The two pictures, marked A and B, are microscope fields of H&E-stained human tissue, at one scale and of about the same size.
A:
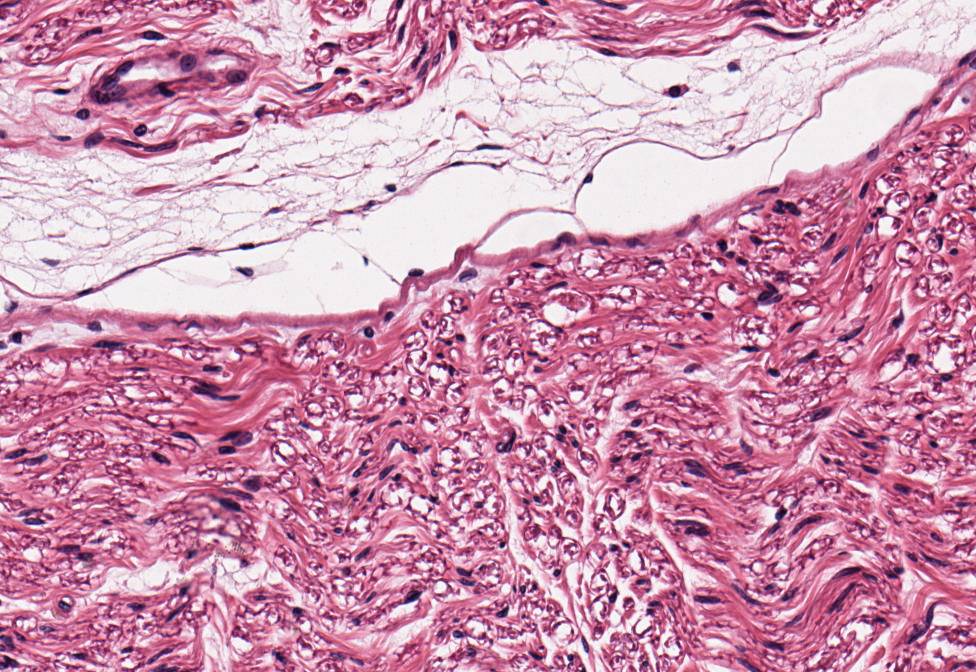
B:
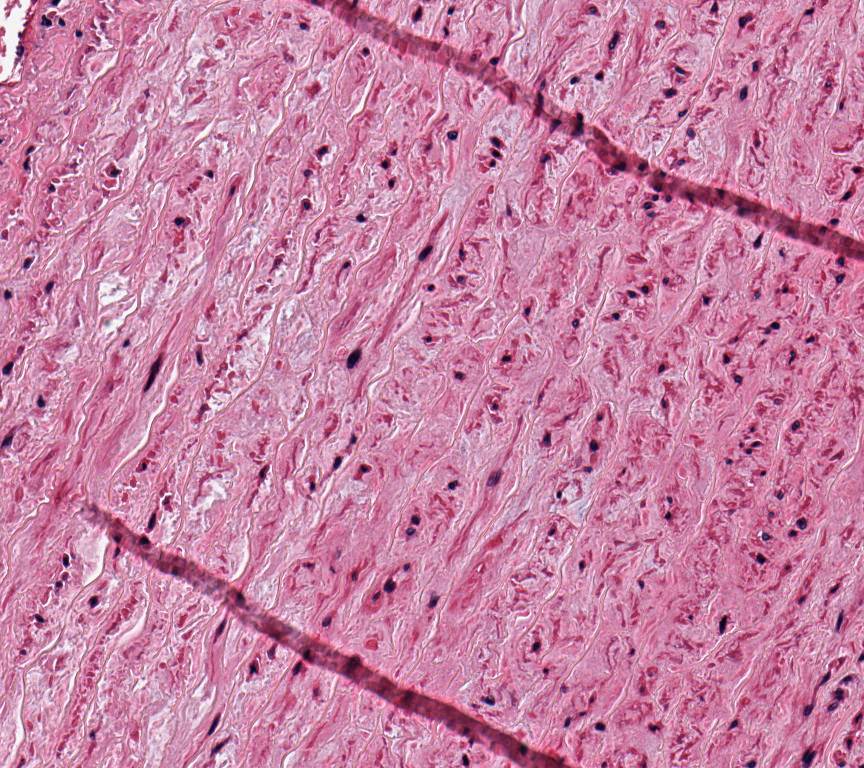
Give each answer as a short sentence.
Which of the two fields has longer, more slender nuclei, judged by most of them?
Longer, more slender nuclei lie in field A.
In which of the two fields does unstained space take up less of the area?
Unstained space takes up less of field B than of field A.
